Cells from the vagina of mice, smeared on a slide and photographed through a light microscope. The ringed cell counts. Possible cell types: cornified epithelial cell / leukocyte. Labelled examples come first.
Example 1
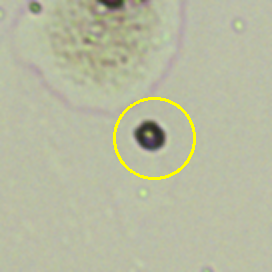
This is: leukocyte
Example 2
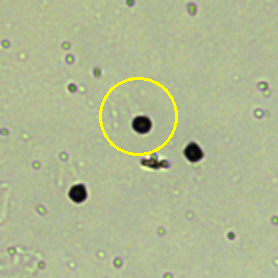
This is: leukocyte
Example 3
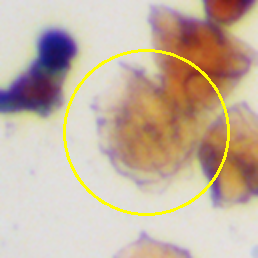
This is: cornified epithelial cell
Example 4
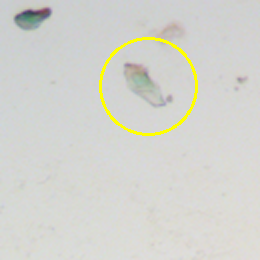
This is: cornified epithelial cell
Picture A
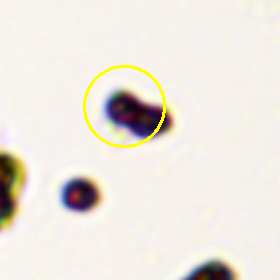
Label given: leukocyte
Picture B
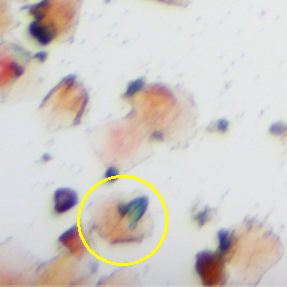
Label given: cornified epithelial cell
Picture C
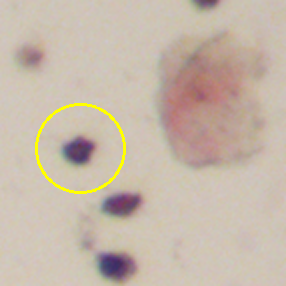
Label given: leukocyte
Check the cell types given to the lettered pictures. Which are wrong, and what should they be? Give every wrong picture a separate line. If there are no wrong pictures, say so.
All labels are correct.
